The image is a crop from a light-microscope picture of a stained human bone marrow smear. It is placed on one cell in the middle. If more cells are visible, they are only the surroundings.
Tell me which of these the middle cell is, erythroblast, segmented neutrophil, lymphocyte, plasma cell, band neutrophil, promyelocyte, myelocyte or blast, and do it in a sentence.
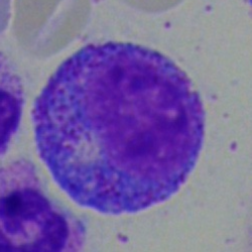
The centrally located cell in the crop is a promyelocyte.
